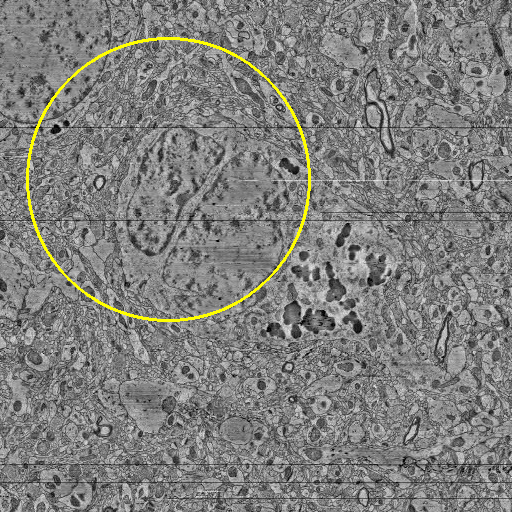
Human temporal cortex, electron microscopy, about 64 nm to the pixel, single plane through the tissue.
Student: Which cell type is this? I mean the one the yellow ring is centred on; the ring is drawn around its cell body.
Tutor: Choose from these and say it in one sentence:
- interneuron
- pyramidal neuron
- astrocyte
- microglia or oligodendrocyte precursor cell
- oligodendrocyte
The cell the ring is centred on is a microglial cell or oligodendrocyte precursor cell.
